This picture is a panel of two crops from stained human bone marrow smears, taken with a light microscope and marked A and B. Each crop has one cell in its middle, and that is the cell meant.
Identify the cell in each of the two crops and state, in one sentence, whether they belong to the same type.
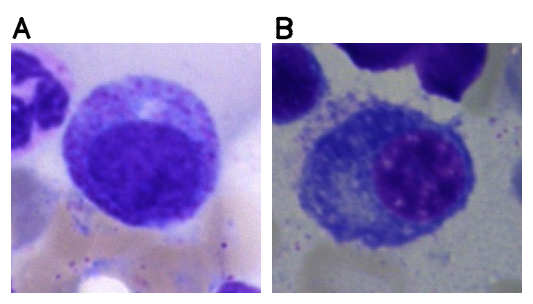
No, a plasma cell is the cell in crop B, and crop A contains a promyelocyte.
